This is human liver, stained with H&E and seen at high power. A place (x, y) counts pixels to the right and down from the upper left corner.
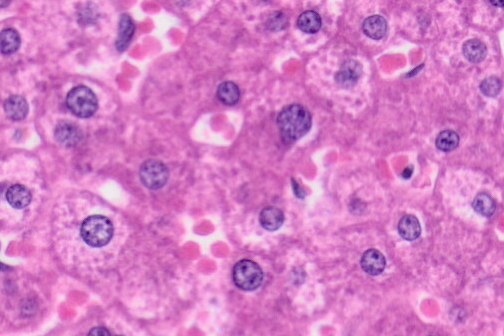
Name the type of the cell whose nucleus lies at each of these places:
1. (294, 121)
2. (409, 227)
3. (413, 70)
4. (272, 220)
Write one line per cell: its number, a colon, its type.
1: hepatocyte
2: hepatocyte
3: endothelial cell
4: hepatocyte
